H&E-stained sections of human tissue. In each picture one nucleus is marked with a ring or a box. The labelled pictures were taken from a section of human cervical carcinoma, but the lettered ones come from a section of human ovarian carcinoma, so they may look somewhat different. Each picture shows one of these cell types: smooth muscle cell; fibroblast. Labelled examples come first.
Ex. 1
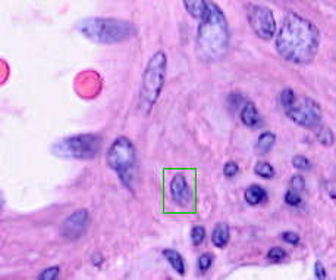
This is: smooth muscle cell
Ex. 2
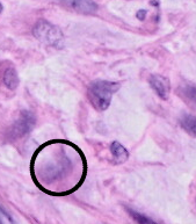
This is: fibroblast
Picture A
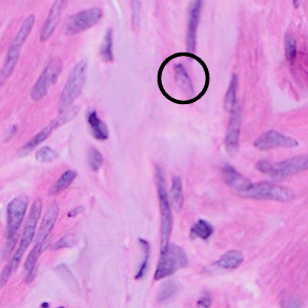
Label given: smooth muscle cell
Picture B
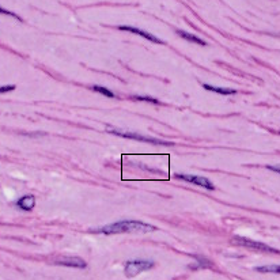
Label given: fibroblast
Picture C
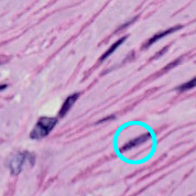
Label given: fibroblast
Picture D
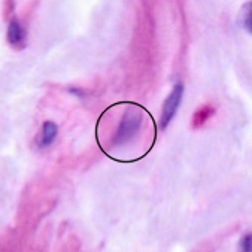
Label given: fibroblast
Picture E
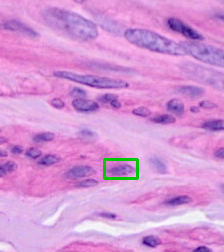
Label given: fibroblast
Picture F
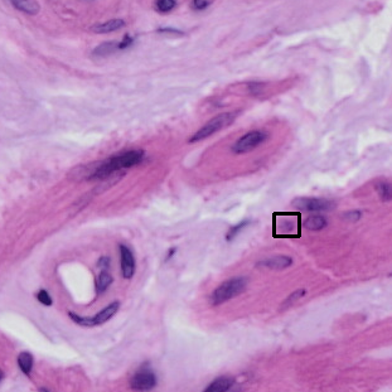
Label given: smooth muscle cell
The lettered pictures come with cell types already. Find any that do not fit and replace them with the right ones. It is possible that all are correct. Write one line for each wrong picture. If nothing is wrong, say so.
D: change fibroblast to smooth muscle cell
E: change fibroblast to smooth muscle cell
